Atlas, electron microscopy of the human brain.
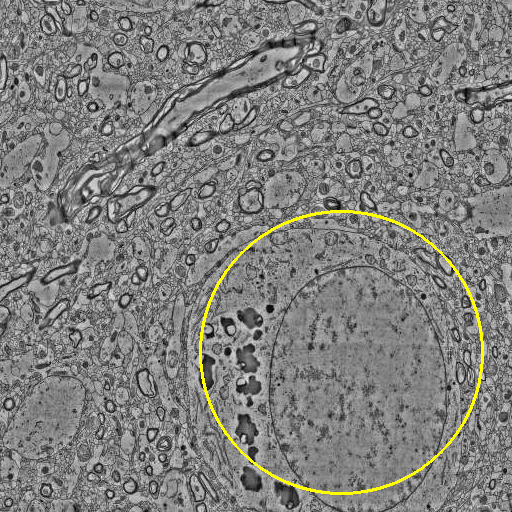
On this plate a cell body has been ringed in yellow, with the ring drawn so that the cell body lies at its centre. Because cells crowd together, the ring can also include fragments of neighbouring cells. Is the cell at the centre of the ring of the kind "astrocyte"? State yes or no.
No, it is of another kind.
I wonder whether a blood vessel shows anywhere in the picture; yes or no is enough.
No.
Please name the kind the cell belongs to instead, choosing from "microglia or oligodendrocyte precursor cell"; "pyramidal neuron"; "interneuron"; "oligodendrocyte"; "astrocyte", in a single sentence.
The ring's central cell is a pyramidal neuron instead.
